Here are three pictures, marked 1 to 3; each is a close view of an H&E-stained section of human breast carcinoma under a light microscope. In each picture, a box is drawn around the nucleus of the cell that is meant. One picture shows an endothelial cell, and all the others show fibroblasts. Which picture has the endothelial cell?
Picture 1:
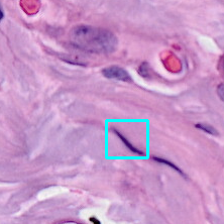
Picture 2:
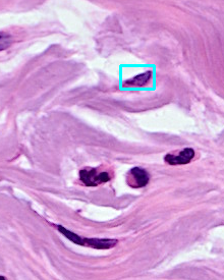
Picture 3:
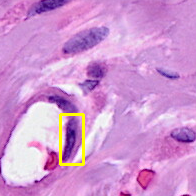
3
